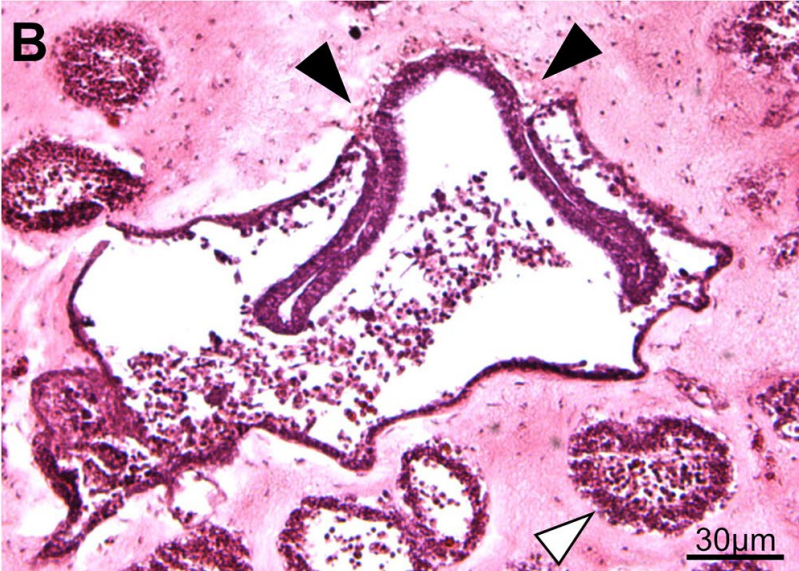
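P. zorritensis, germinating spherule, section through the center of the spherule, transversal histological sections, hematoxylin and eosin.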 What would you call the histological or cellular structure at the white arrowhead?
Ampullary ramification.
